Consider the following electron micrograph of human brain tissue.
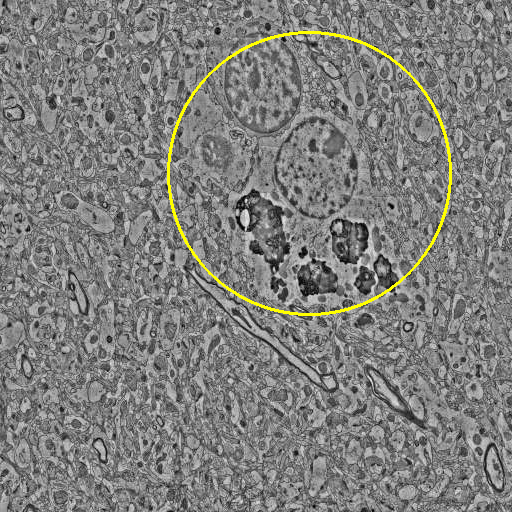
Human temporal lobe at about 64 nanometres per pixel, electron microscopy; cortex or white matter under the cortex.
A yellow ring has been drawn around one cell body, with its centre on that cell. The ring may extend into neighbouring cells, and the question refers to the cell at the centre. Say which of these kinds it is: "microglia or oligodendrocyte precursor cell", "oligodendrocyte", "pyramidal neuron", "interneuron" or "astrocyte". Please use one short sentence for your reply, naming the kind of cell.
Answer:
The centre of the ring falls on an astrocyte.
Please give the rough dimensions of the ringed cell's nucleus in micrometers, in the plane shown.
In this plane, the nucleus of the cell at the centre of the ring measures about 6 by 5 micrometres.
